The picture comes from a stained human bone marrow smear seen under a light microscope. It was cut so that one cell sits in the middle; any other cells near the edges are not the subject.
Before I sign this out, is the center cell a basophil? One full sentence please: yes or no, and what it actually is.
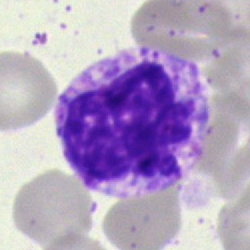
Yes, the cell under consideration, the one in the middle, is a basophil.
